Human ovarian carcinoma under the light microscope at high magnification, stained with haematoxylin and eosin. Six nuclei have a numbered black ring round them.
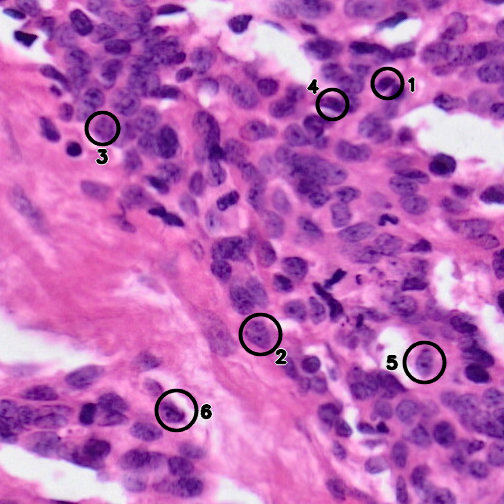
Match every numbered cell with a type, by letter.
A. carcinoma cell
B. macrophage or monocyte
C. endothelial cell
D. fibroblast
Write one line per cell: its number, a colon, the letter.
1: A
2: A
3: A
4: A
5: B
6: B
